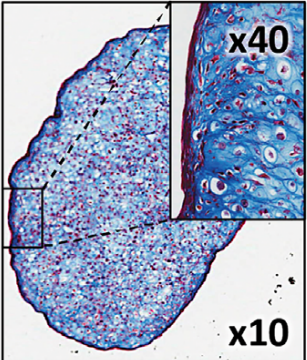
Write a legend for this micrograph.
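In the enlarged inset many chondrocytes sit within rounded lacunae, some of them large and pale. Toward the surface the cells are smaller and more flattened, forming a thin rim around the mass.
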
